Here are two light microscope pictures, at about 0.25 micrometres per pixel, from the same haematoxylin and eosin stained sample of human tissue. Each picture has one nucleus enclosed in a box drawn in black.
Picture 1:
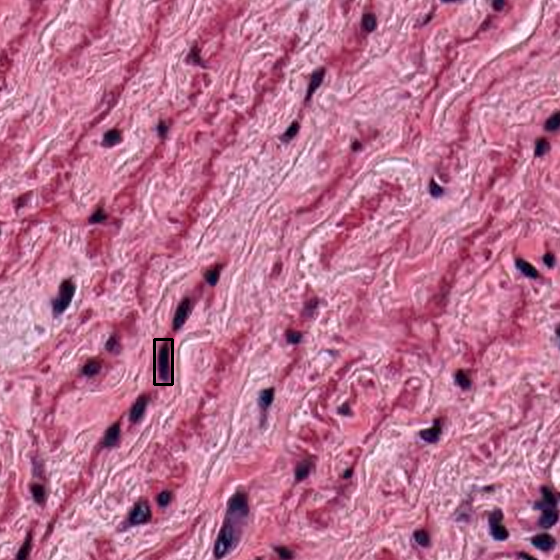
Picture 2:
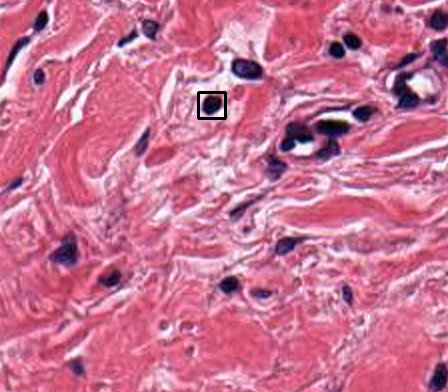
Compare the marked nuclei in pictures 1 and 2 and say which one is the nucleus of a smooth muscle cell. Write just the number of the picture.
1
